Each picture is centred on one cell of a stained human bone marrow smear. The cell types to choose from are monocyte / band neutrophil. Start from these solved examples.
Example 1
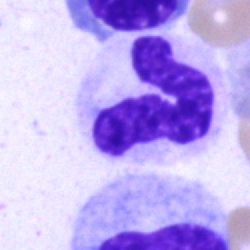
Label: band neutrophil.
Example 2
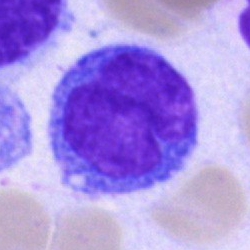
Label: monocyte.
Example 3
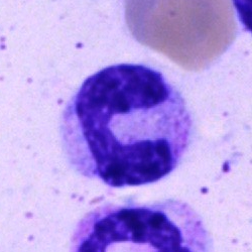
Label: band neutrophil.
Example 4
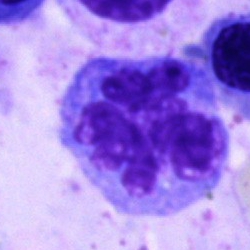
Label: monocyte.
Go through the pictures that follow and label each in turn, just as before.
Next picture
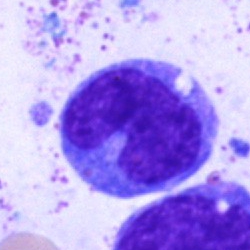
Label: monocyte.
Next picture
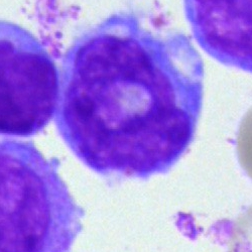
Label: monocyte.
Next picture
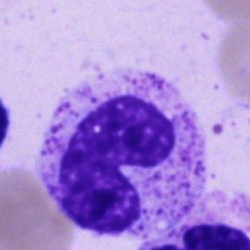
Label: band neutrophil.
